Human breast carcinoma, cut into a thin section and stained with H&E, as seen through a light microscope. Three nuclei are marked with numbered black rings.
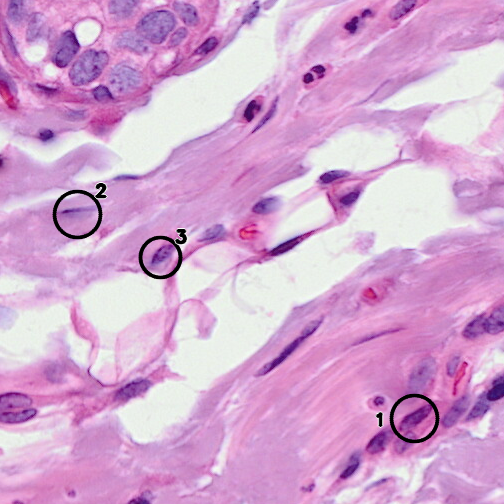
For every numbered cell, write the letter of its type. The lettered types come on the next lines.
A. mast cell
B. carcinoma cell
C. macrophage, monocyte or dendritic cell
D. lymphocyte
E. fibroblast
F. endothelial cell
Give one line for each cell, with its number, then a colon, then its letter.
1: F
2: E
3: E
